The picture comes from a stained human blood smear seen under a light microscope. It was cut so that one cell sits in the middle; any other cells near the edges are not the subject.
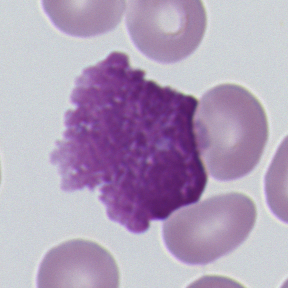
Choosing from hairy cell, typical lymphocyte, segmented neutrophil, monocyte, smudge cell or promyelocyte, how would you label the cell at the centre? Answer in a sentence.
The single cell at the center of the crop is a smudge cell.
